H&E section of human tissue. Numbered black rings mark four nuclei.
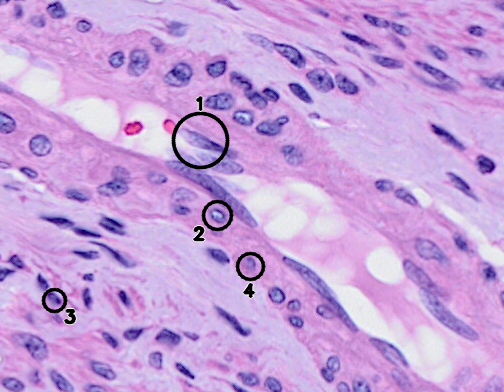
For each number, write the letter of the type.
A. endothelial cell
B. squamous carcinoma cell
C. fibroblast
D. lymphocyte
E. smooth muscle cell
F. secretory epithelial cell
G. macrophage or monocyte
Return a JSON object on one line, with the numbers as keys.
{"1": "A", "2": "E", "3": "E", "4": "E"}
